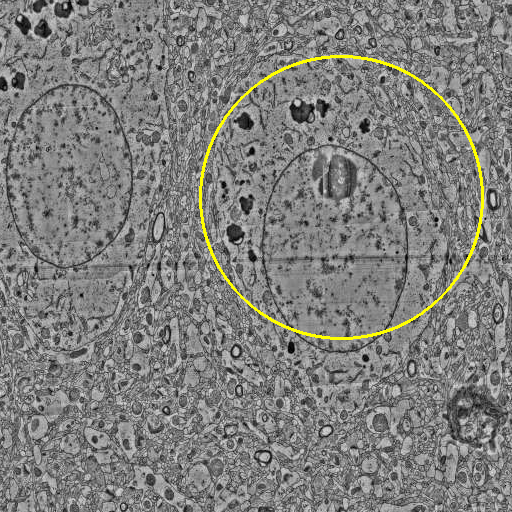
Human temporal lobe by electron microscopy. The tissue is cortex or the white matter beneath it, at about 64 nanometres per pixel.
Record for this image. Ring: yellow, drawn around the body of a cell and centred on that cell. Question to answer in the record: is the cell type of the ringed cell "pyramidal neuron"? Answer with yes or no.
yes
